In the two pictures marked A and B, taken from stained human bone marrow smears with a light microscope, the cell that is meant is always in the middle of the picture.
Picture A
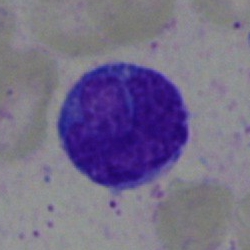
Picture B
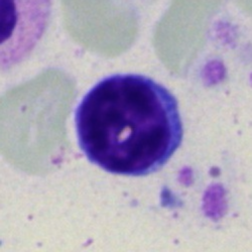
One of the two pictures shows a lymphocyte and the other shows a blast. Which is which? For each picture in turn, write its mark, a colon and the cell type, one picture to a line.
A: blast
B: lymphocyte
